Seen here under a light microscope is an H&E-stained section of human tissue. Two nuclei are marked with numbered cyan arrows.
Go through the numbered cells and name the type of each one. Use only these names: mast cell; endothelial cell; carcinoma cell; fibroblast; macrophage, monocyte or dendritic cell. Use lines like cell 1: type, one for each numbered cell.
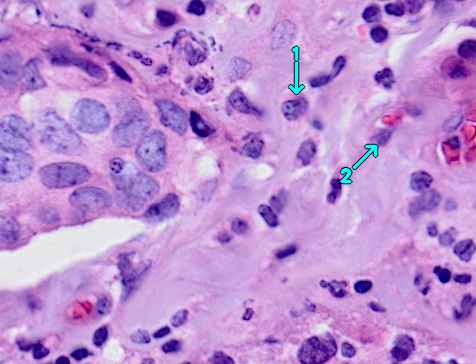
cell 1: mast cell
cell 2: endothelial cell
